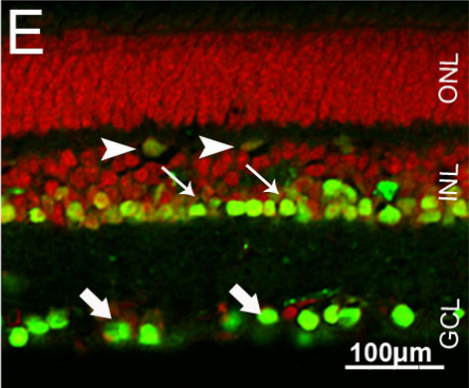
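The outer nuclear layer is a thick band of tightly packed small red nuclei. The innermost ganglion cell layer holds scattered larger round nuclei, many of them brightly green. Between the inner nuclear layer and the ganglion cell layer lies a broad, nearly cell-free plexiform band.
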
